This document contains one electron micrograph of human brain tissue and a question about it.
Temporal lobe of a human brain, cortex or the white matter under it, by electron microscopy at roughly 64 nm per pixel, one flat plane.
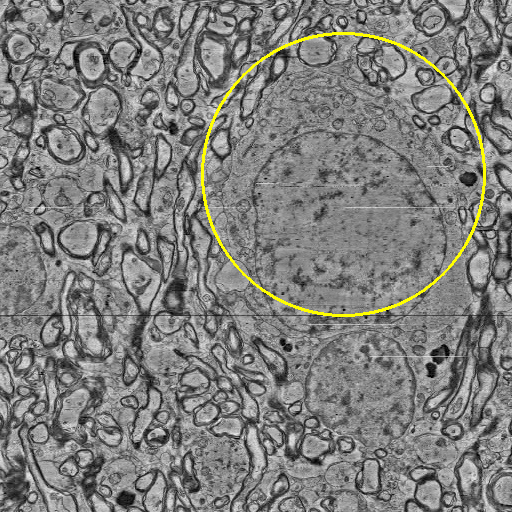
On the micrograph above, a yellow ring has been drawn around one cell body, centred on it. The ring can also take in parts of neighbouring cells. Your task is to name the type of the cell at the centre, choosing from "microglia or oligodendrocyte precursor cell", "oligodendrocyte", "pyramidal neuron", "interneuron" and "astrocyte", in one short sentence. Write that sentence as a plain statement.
Here the ring is centred on a pyramidal neuron.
